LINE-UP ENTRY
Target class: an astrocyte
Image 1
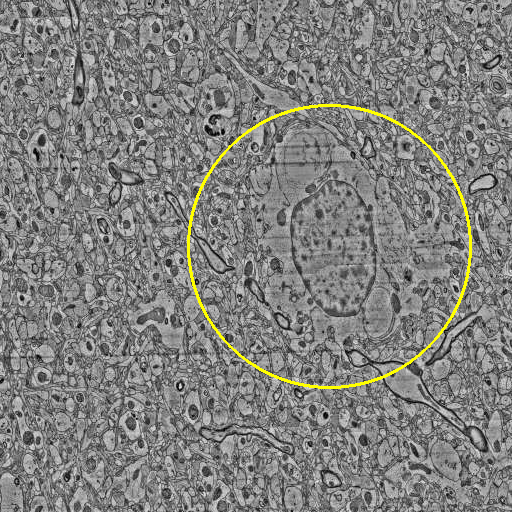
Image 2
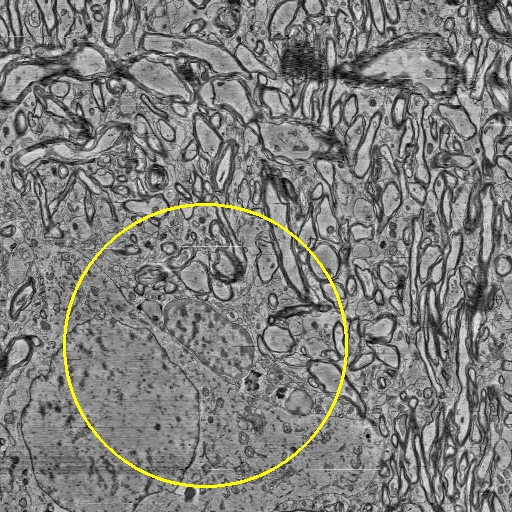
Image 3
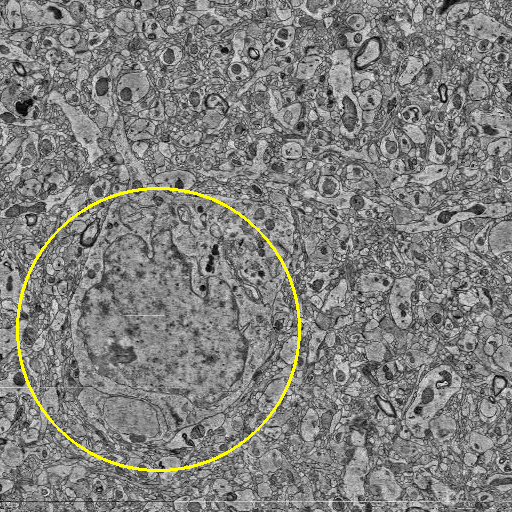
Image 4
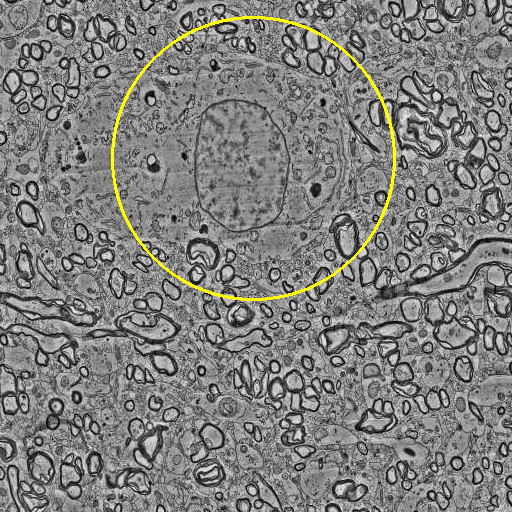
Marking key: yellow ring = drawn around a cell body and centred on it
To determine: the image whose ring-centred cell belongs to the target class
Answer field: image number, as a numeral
1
